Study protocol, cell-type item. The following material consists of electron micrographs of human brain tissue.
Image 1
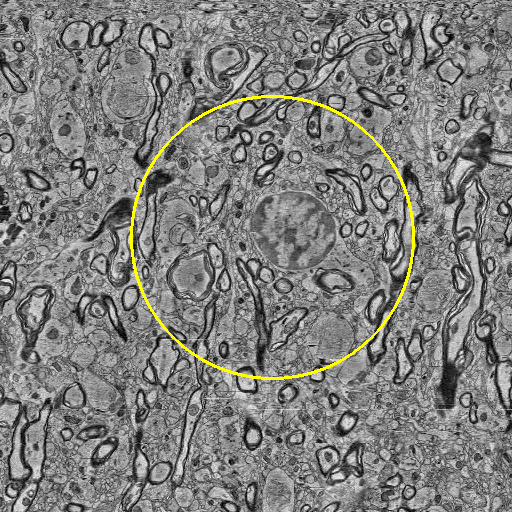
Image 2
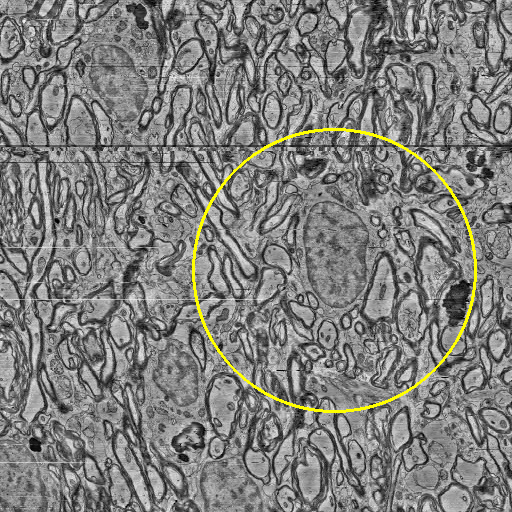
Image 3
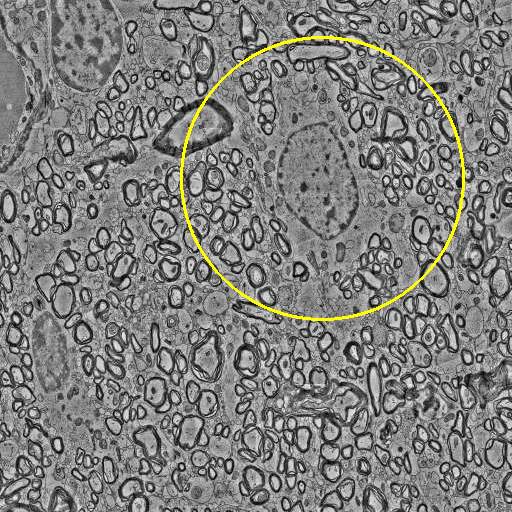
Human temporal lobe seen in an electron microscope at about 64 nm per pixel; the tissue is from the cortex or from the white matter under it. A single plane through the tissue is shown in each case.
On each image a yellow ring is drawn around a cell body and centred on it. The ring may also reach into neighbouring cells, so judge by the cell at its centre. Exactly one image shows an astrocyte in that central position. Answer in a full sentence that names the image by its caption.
The cell at the centre of the ring in Image 3 is of that kind.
